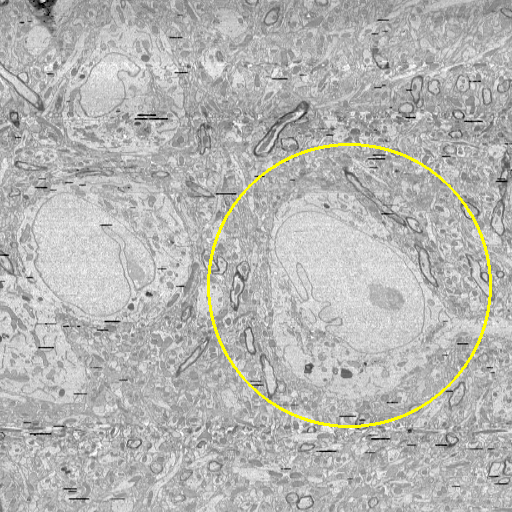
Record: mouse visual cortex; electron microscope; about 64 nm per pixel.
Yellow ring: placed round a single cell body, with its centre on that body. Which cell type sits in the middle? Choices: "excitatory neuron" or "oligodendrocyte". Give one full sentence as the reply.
It is an excitatory neuron whose cell body sits at the centre of the yellow ring.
